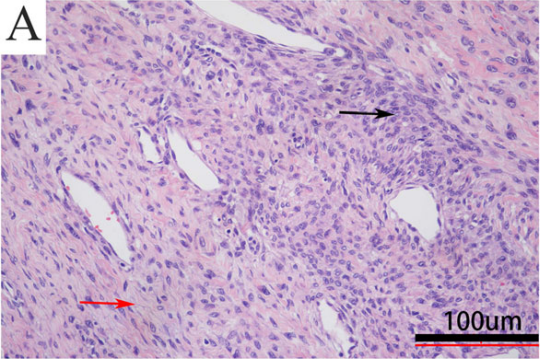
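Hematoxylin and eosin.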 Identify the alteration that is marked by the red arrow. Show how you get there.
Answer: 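Nuclei are sparse and widely spaced near the arrow. The area is paler pink with more stroma between cells.
Hypocellular.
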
